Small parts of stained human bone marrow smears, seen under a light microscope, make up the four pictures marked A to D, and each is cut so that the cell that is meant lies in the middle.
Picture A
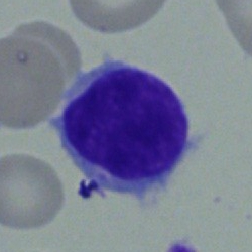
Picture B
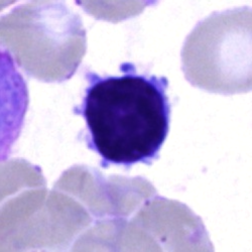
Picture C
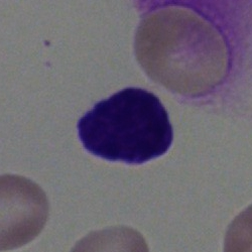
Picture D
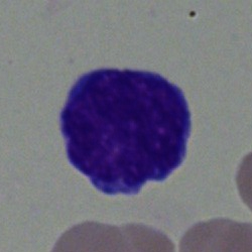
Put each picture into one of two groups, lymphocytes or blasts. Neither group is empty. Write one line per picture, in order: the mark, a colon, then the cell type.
A: lymphocyte
B: lymphocyte
C: lymphocyte
D: blast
